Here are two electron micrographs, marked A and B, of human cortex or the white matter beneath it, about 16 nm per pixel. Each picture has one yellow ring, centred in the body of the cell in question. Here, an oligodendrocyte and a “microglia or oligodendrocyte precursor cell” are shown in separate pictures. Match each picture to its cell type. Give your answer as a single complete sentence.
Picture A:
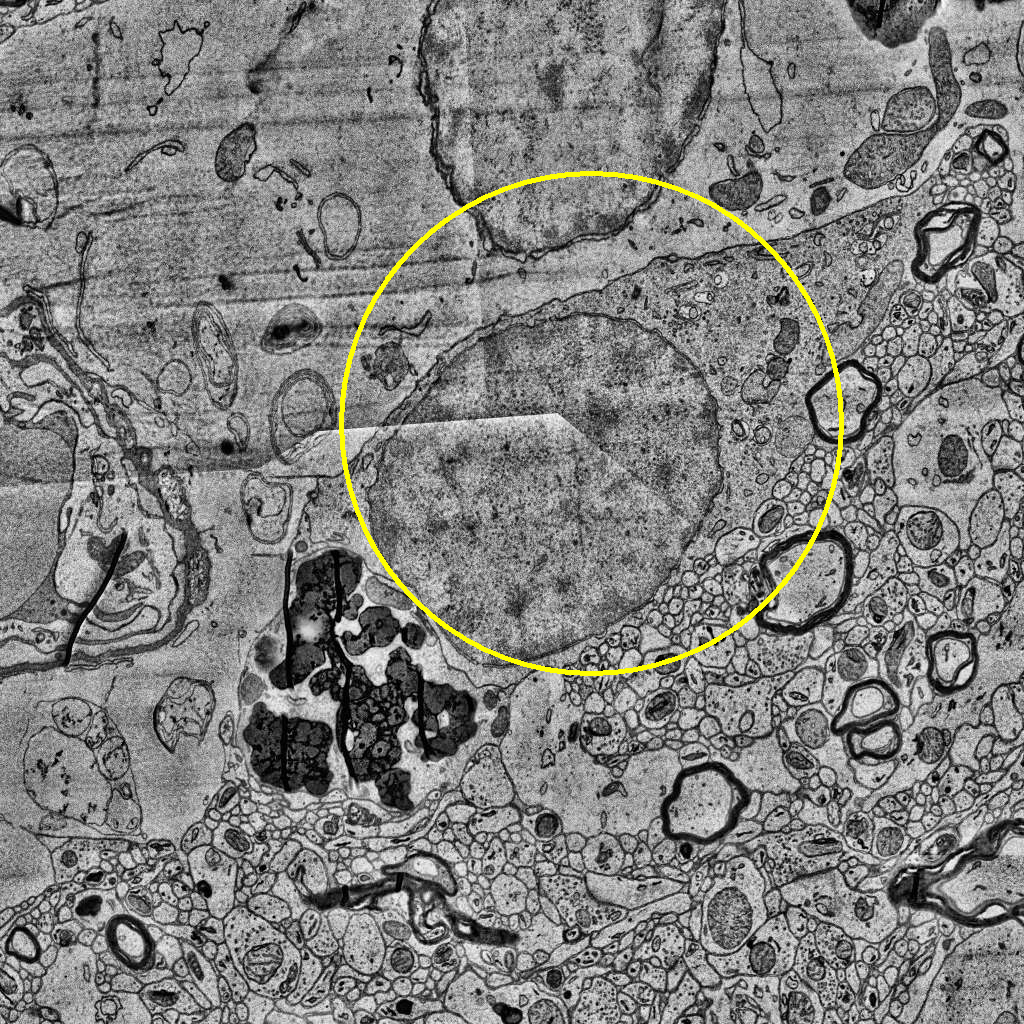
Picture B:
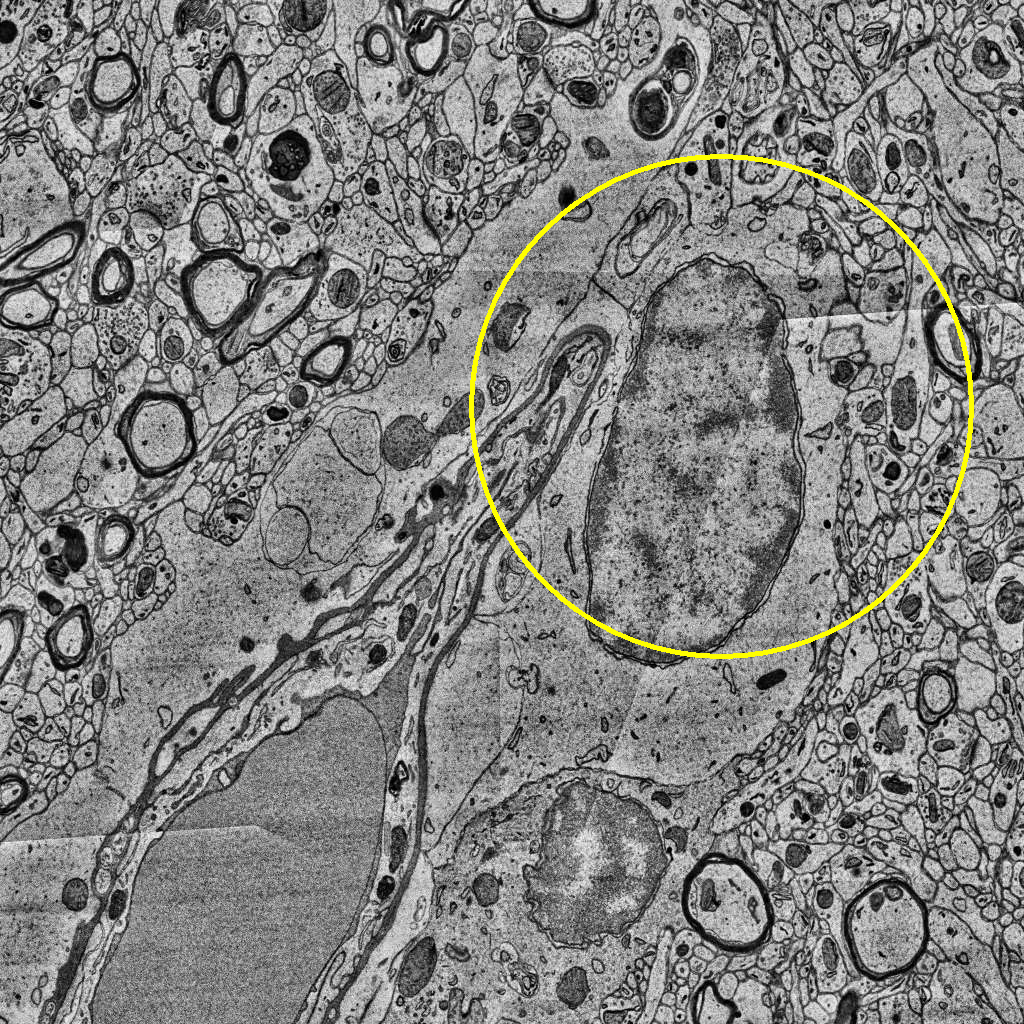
It is picture A that shows an oligodendrocyte, and picture B that shows a “microglia or oligodendrocyte precursor cell”.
